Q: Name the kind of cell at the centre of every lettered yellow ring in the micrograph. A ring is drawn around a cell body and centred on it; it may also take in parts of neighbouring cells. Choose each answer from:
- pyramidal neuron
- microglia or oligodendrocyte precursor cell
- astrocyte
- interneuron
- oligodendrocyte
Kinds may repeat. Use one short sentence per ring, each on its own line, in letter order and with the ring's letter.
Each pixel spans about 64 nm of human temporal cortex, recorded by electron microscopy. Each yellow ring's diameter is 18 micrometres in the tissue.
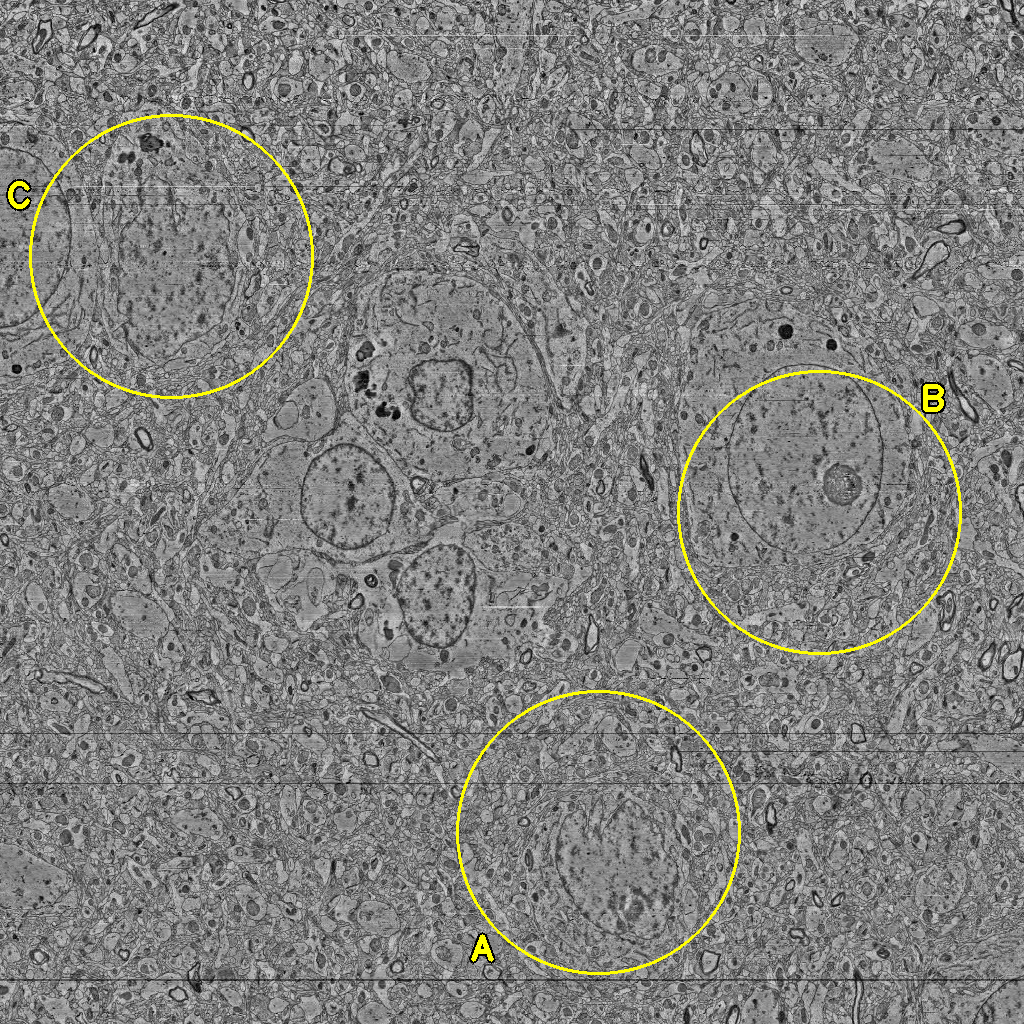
Ring A is placed around an interneuron.
Ring B is placed around a pyramidal neuron.
Ring C is placed around an interneuron.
